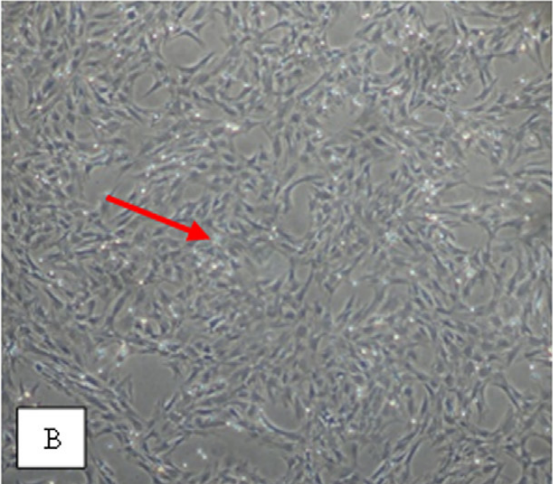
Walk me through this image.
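This is a dense culture of adherent cells shaped like fibroblasts, covering nearly the whole dish surface. The cells are elongated and spindle-shaped, with slender tapering extensions at both ends. They lie flat and tend to run in parallel streams that bend into swirling patterns, with only small gaps left between them. A few small, bright, rounded cells are scattered over the layer.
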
